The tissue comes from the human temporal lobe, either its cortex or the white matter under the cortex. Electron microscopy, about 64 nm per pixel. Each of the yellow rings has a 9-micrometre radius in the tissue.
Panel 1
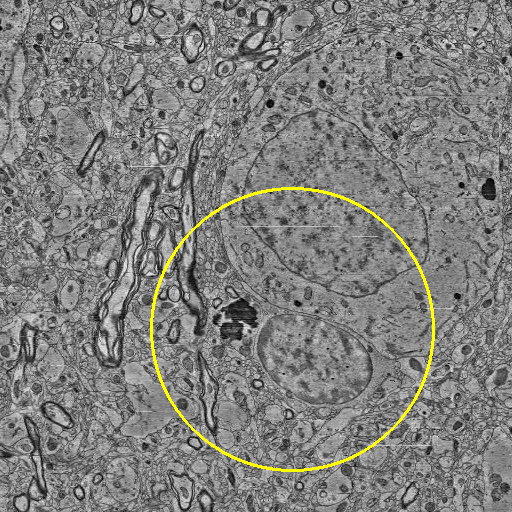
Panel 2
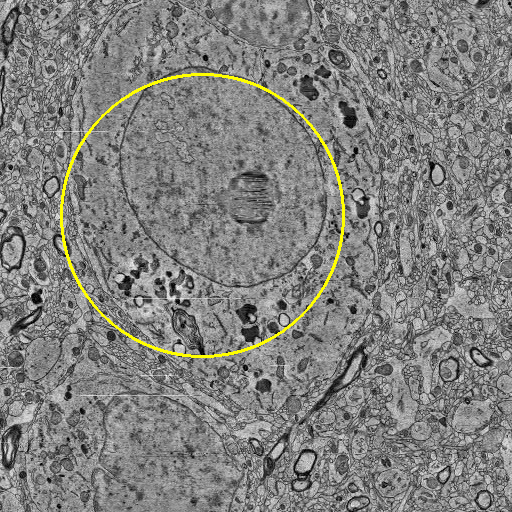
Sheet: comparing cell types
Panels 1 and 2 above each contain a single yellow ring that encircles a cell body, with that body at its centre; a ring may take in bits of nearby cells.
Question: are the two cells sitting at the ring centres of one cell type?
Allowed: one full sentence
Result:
No, the ring-centre cells in Panel 1 and Panel 2 are of two types.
